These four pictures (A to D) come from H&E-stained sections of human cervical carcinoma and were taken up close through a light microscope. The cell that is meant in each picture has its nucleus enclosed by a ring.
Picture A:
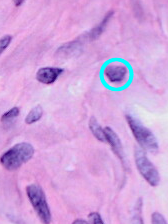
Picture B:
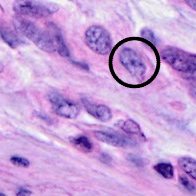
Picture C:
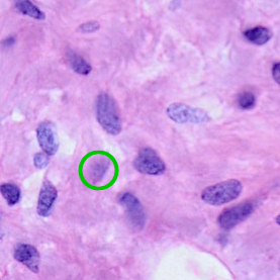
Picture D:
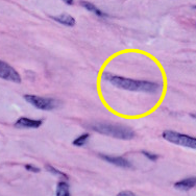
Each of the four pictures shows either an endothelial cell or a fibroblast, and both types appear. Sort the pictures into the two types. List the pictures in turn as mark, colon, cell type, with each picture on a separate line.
A: fibroblast
B: endothelial cell
C: fibroblast
D: fibroblast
